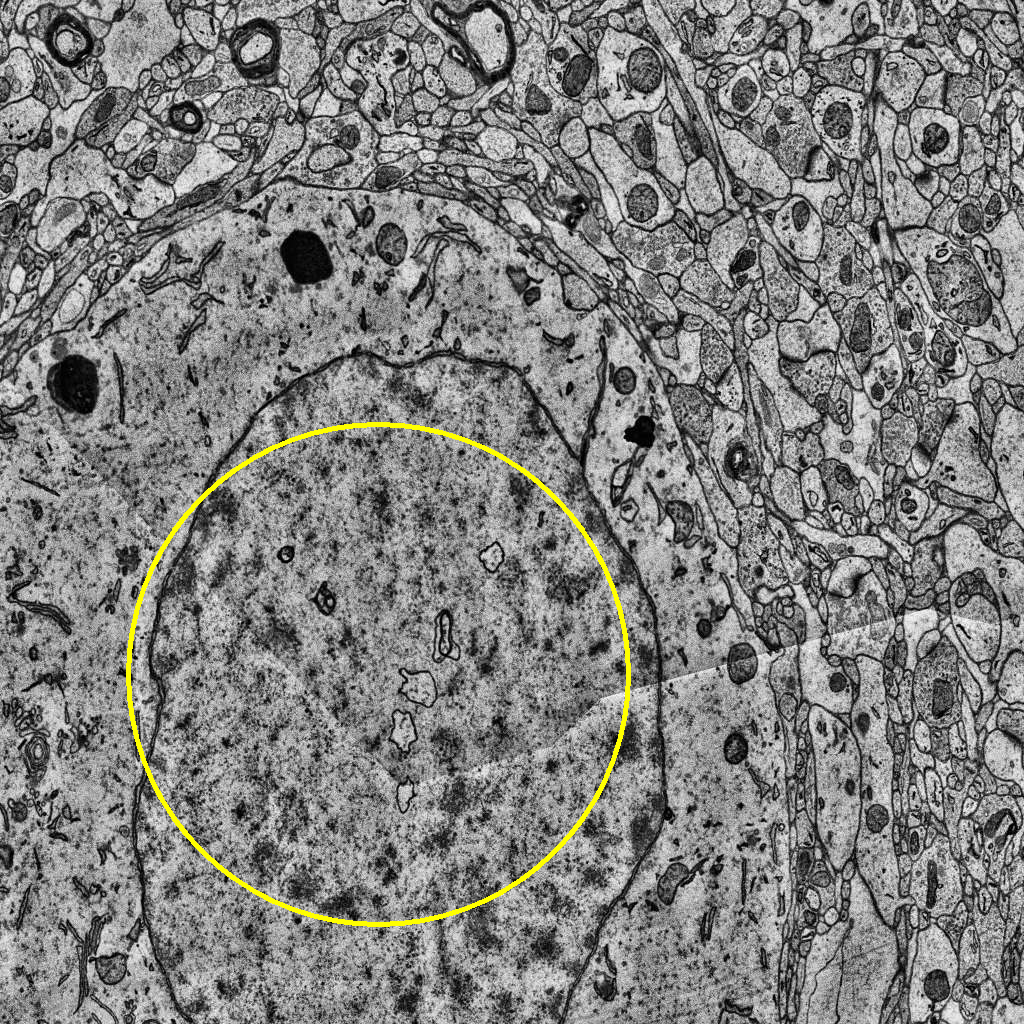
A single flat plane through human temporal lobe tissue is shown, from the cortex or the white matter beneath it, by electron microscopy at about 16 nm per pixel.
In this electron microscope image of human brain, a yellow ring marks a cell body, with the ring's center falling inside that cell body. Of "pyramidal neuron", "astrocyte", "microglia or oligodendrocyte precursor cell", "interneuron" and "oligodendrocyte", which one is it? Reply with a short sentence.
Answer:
It is a pyramidal neuron at the center of the ring.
